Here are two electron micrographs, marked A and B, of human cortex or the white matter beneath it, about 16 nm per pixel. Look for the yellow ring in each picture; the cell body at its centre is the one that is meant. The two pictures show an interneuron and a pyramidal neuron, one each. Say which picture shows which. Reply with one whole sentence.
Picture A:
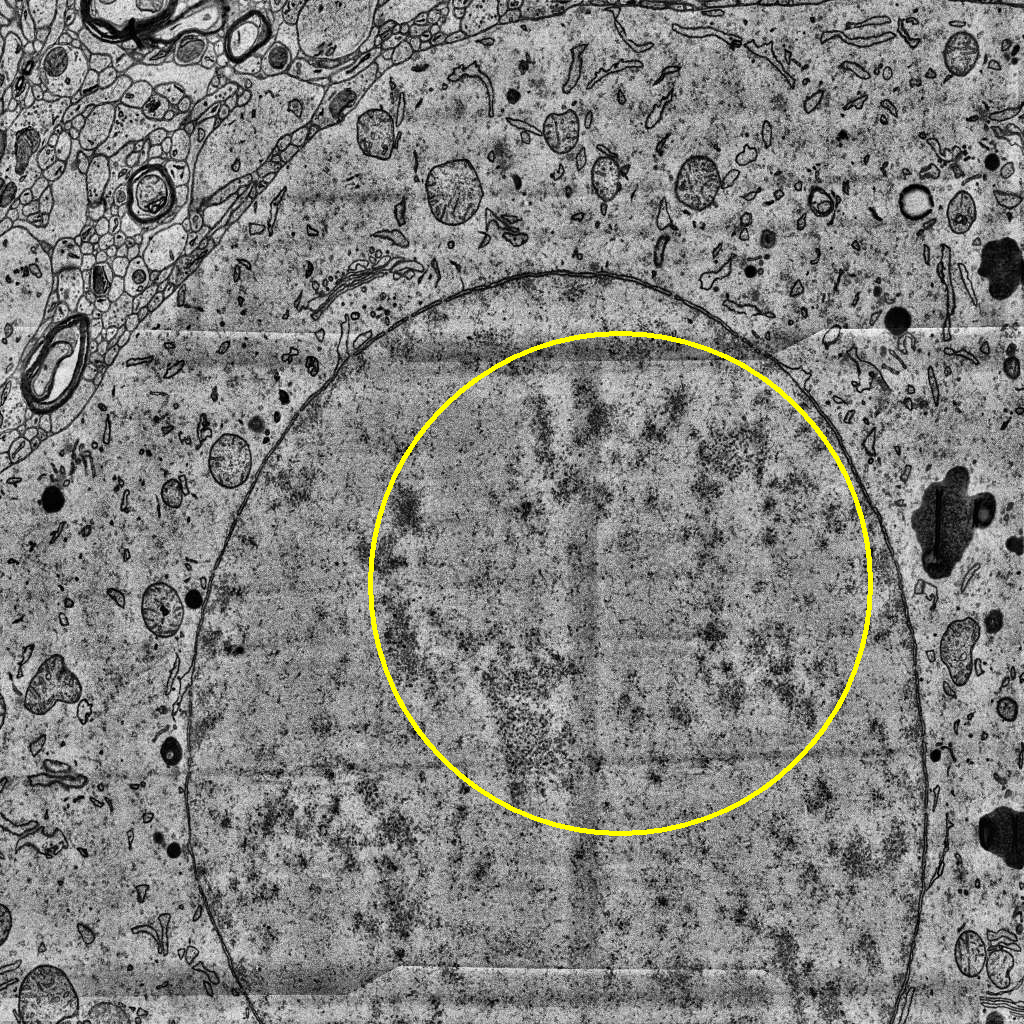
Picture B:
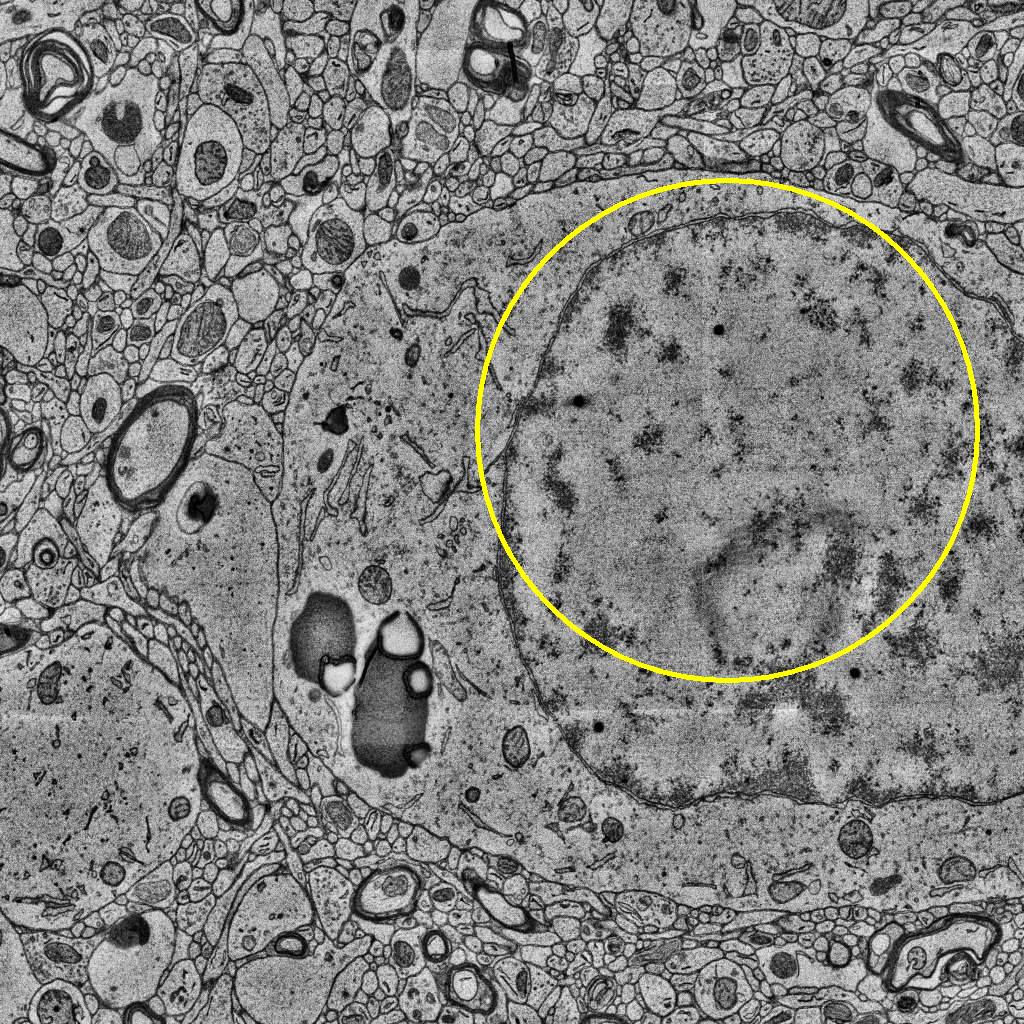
It is picture A that shows a pyramidal neuron, and picture B that shows an interneuron.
